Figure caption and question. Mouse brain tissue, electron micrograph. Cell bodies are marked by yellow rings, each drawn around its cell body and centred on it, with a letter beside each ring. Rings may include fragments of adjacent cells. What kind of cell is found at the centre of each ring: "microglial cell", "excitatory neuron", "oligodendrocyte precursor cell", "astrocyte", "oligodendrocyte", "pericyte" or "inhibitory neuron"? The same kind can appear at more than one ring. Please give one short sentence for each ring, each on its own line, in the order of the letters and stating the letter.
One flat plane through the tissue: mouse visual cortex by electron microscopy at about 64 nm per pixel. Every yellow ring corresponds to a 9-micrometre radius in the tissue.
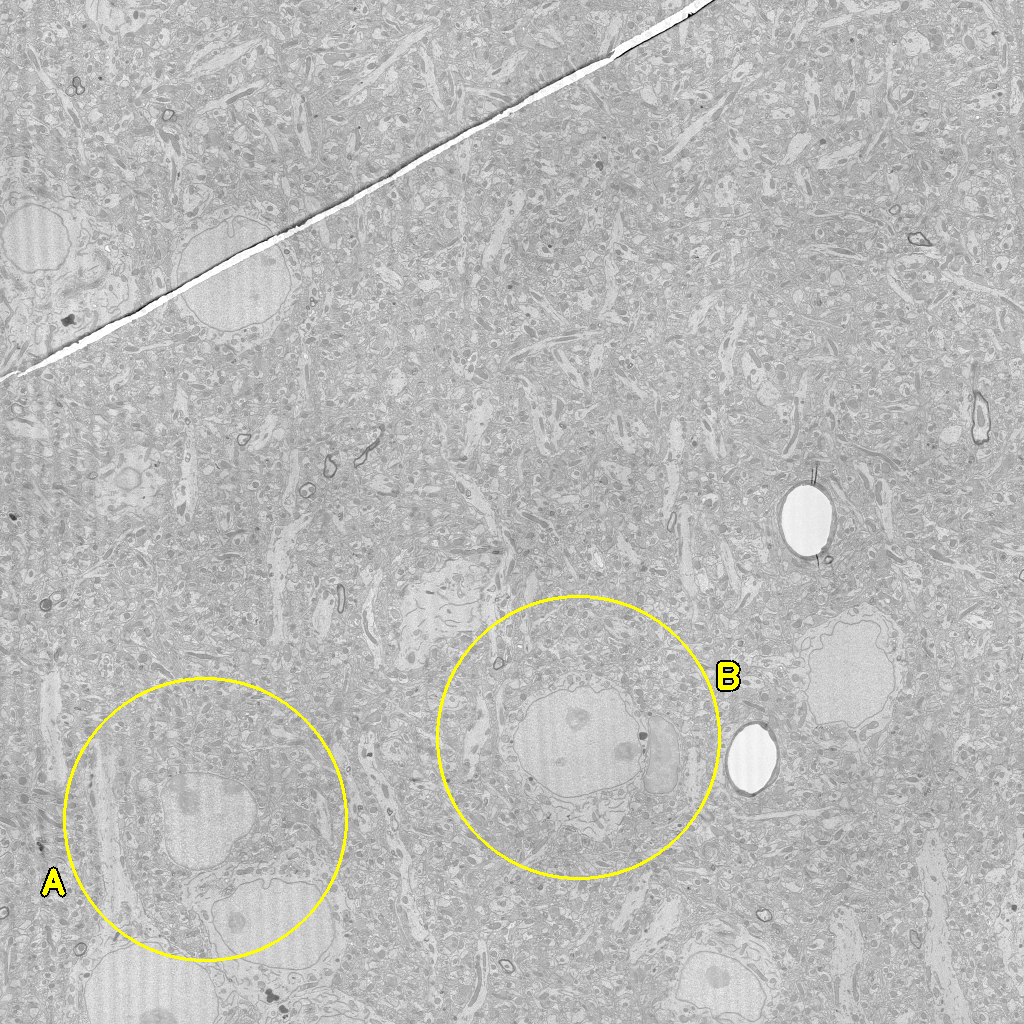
The centre of ring A falls on an astrocyte.
The centre of ring B falls on an excitatory neuron.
